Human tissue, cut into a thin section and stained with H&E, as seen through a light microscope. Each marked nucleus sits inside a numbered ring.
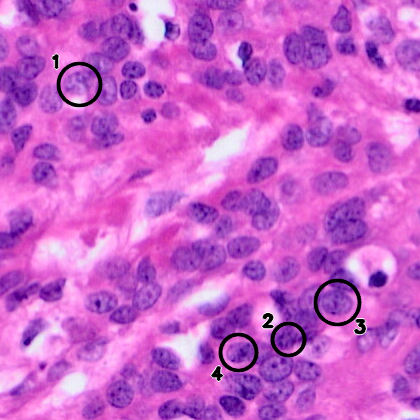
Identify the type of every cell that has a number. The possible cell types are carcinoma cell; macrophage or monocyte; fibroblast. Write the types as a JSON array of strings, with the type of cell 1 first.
["carcinoma cell", "carcinoma cell", "carcinoma cell", "macrophage or monocyte"]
